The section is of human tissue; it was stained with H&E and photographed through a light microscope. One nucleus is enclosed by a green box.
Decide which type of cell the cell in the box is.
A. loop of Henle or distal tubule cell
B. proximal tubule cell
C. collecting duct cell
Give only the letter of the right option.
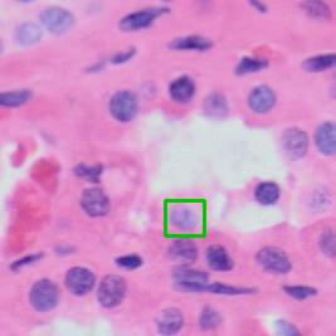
A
